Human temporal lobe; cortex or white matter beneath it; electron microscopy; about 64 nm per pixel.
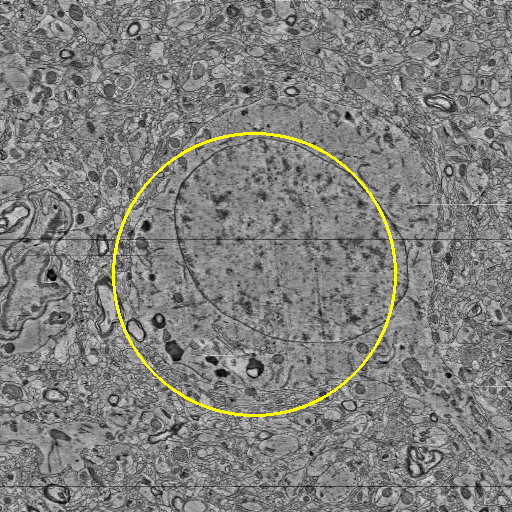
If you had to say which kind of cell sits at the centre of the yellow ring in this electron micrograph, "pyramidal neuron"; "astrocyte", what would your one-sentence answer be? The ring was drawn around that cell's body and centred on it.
The cell sitting at the centre of the ring is a pyramidal neuron.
